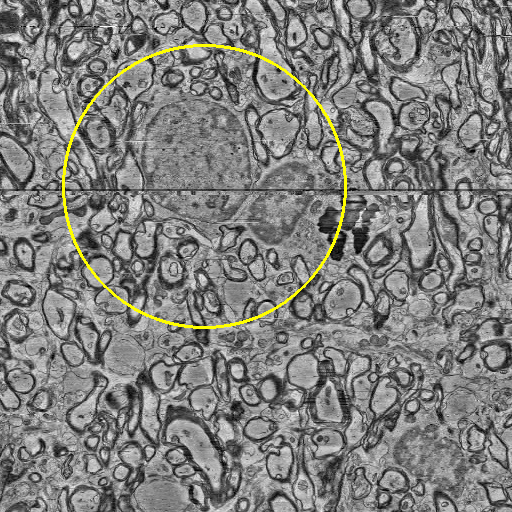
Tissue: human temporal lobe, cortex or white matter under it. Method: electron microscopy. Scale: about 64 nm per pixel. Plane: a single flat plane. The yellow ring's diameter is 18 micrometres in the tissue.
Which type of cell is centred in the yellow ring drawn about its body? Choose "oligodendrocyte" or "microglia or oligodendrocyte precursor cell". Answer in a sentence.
The yellow ring surrounds the cell body of an oligodendrocyte.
